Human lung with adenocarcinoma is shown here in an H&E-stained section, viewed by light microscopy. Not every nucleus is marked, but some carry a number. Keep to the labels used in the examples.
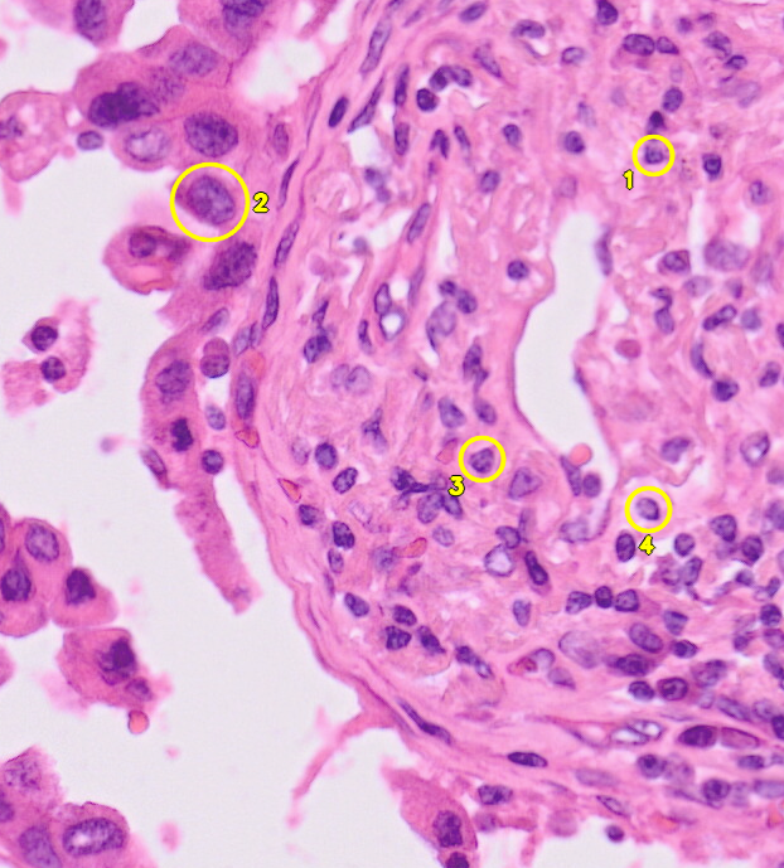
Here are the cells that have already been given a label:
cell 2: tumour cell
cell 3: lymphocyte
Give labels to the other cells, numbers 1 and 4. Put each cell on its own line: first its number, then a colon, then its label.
1: lymphocyte
4: lymphocyte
